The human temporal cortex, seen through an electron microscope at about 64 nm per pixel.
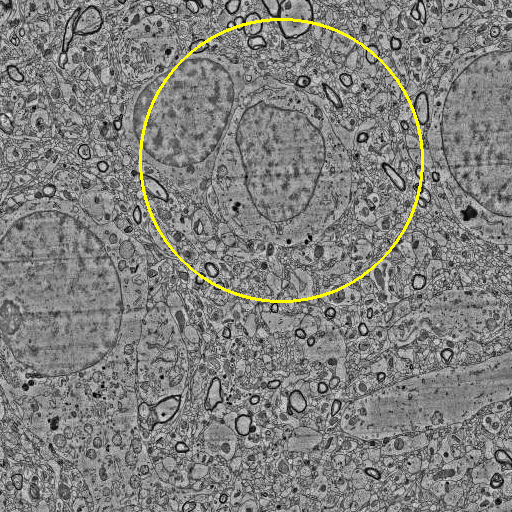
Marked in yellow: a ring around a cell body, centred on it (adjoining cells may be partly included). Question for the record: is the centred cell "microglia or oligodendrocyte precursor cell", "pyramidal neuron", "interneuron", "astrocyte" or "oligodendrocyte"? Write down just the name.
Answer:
pyramidal neuron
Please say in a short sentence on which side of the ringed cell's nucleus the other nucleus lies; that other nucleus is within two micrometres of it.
That other nucleus sits to the upper left of it.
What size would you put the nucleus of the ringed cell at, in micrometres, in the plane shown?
The nucleus measures about 8 by 6 micrometres in this plane.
